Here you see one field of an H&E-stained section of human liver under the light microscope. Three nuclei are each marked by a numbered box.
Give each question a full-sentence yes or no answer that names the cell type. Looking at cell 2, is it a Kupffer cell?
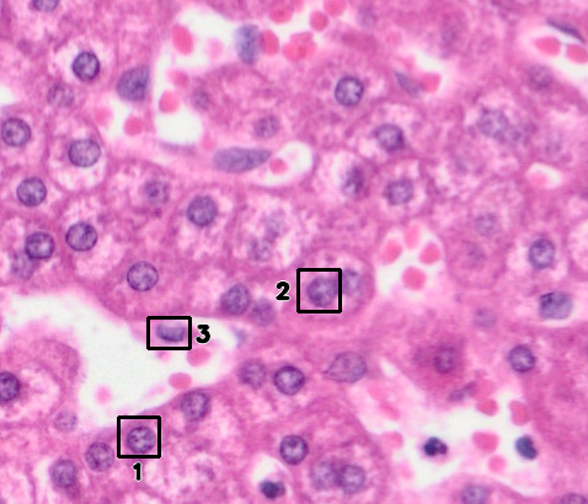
No, as for cell 2, it is a hepatocyte and not a Kupffer cell.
